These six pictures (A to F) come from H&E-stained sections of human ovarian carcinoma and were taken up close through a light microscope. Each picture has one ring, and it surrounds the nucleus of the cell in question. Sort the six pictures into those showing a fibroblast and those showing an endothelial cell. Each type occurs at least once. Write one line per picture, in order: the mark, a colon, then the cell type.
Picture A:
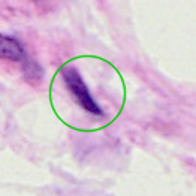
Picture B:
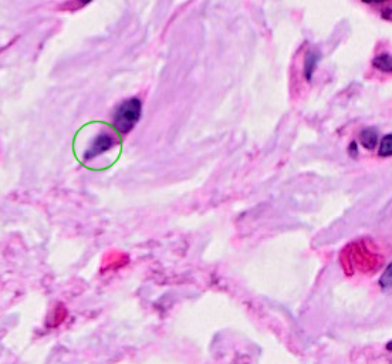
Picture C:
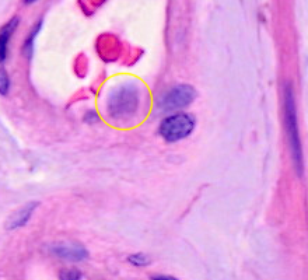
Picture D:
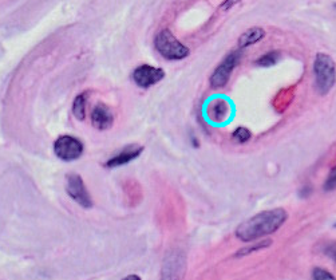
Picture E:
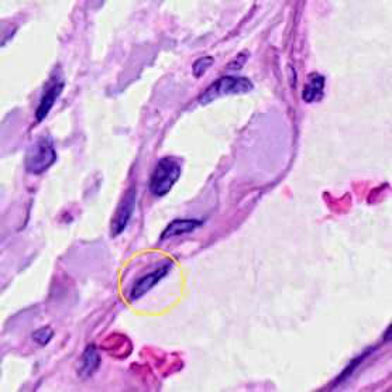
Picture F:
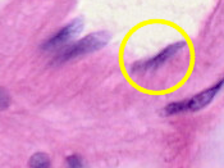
A: fibroblast
B: fibroblast
C: endothelial cell
D: endothelial cell
E: endothelial cell
F: endothelial cell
